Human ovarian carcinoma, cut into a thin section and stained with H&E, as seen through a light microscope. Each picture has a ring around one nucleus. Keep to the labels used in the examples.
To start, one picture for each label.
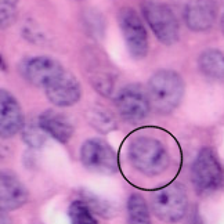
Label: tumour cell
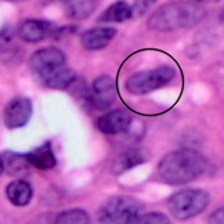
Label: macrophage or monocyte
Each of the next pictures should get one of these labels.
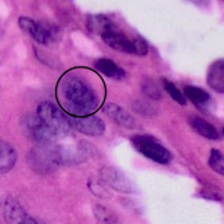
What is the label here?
tumour cell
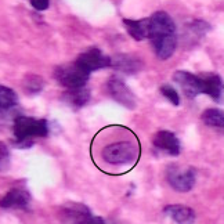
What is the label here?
macrophage or monocyte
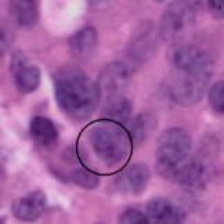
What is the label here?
tumour cell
